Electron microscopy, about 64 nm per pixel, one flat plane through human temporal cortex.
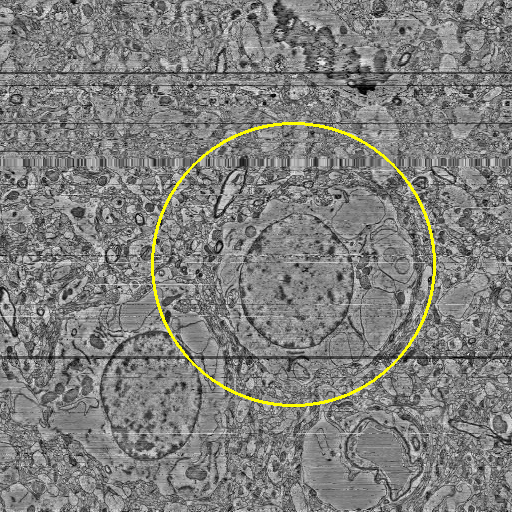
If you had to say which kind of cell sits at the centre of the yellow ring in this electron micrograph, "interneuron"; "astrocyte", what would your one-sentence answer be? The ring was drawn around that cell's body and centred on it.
The cell sitting at the centre of the ring is an astrocyte.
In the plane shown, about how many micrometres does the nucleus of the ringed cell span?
In this plane, approximately 9 by 7 micrometers.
